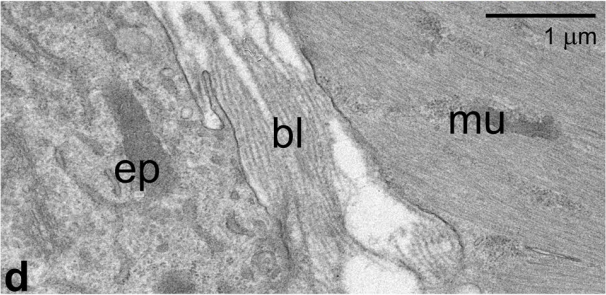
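This electron micrograph shows the base of an epithelial cell, a filamentous basal lamina and an attached muscle fibre. The epithelial cytoplasm on the left is granular with scattered organelles. A band of parallel filaments runs obliquely between the cell and the muscle. On the right the muscle fibre is packed with fine myofilaments running in one direction.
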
